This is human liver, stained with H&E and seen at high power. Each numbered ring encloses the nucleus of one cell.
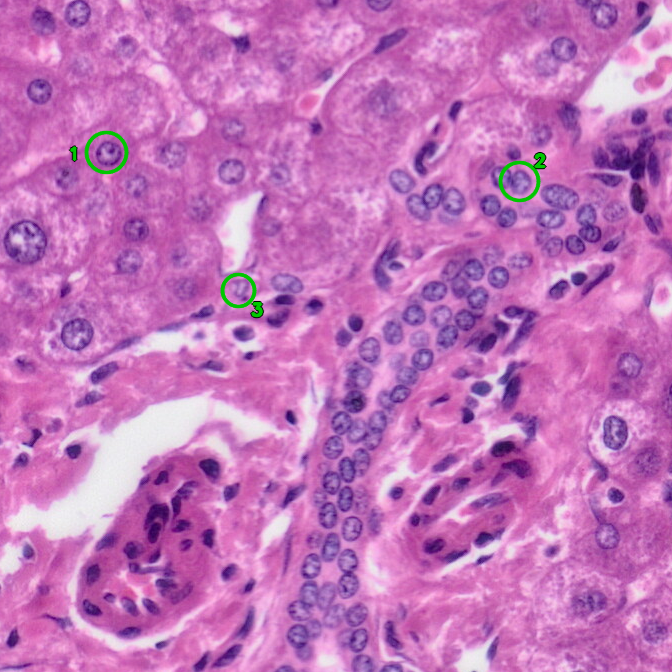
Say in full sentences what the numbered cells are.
Cell 1 is a hepatocyte, cell 2 is a cholangiocyte and cell 3 is a cholangiocyte.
